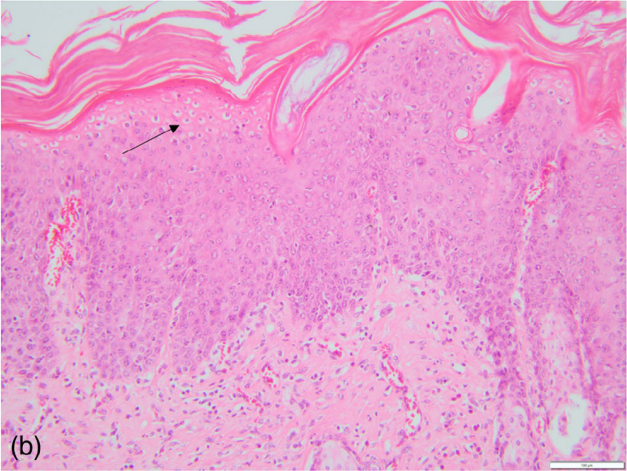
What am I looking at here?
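This is a thickened epidermis of skin, many layers of pink keratinocytes deep. On top lies a thick, wavy layer of pink anucleate keratin. In the upper layers some keratinocytes are surrounded by small clear spaces. Below, the epidermis meets a dermis with small red-filled capillaries and scattered cells.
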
